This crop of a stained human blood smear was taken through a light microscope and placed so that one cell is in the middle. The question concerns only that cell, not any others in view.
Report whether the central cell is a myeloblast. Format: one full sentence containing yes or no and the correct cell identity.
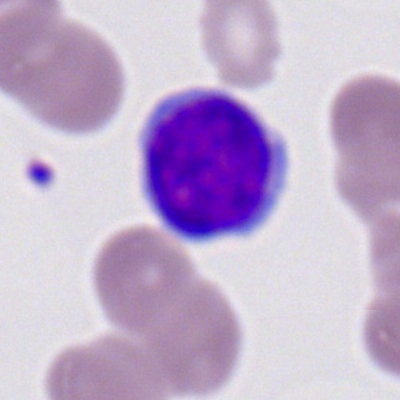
No, in the centre of the crop lies a lymphocyte, not a myeloblast.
